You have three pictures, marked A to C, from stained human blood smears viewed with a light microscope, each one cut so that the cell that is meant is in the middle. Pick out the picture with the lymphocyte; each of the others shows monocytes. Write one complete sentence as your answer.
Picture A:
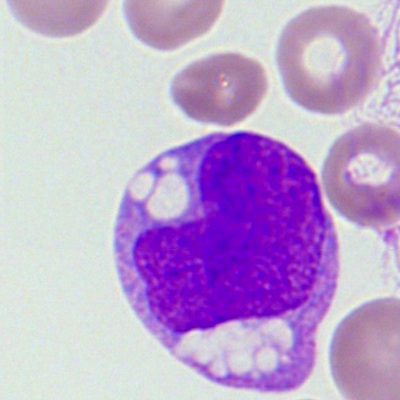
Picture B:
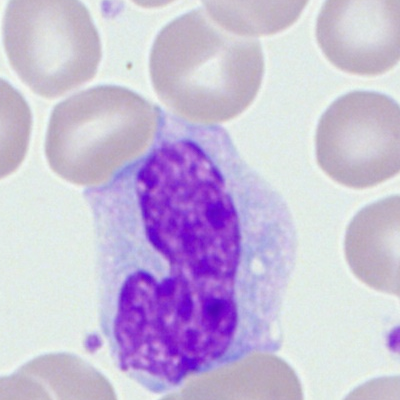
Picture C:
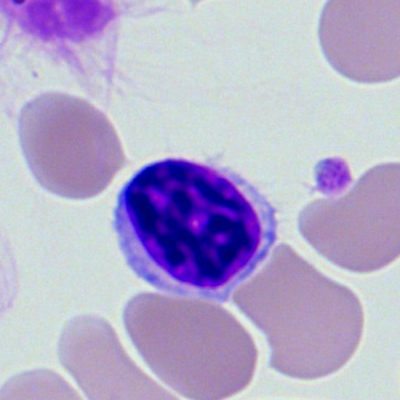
Picture C is the one that shows the lymphocyte.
